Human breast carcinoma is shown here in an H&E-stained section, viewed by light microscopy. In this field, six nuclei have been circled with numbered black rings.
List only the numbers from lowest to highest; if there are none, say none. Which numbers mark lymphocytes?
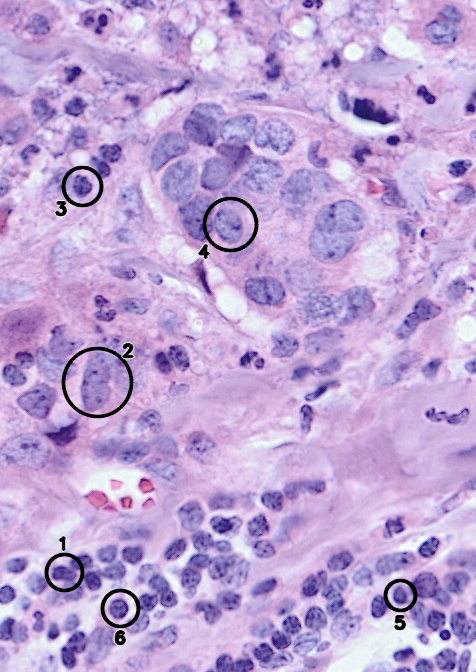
1, 3, 5, 6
